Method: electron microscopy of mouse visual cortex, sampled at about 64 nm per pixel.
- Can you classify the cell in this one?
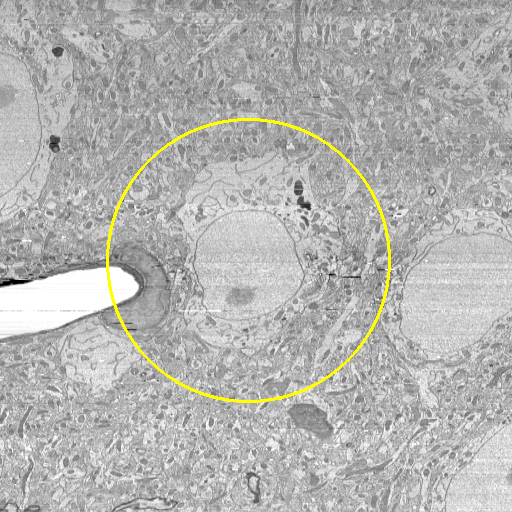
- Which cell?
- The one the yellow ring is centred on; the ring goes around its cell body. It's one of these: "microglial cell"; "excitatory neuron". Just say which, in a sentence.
The cell body in the ring belongs to an excitatory neuron.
